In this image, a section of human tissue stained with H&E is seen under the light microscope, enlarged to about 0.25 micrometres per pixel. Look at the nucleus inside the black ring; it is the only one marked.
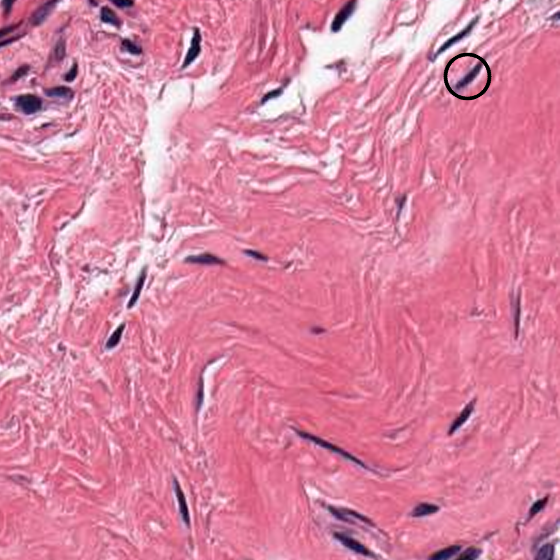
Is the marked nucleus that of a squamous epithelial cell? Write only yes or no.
no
